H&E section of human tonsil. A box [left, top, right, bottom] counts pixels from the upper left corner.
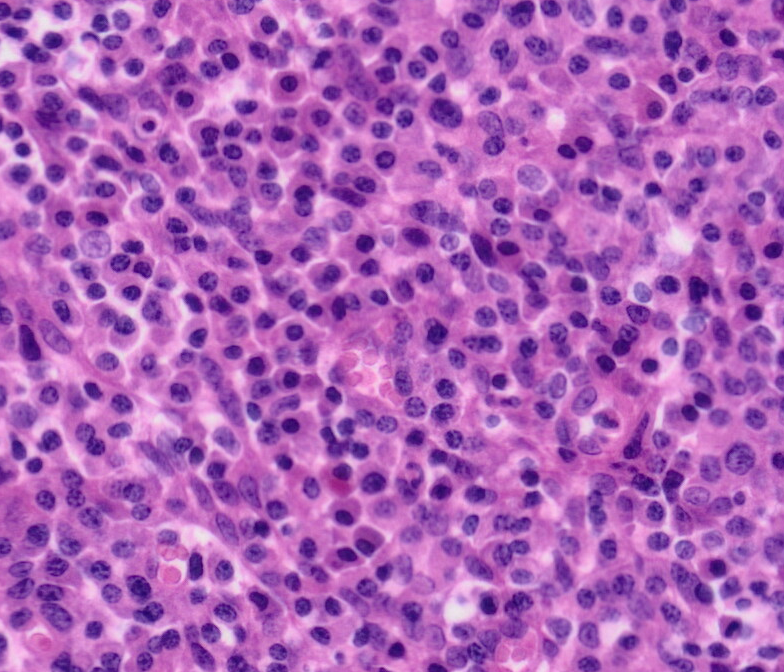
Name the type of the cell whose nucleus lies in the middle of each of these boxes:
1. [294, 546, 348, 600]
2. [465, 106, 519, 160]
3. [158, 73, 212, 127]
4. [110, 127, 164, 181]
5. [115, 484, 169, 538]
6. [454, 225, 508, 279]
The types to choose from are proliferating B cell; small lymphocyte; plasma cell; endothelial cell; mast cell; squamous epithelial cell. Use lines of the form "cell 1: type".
cell 1: plasma cell
cell 2: squamous epithelial cell
cell 3: plasma cell
cell 4: plasma cell
cell 5: plasma cell
cell 6: squamous epithelial cell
